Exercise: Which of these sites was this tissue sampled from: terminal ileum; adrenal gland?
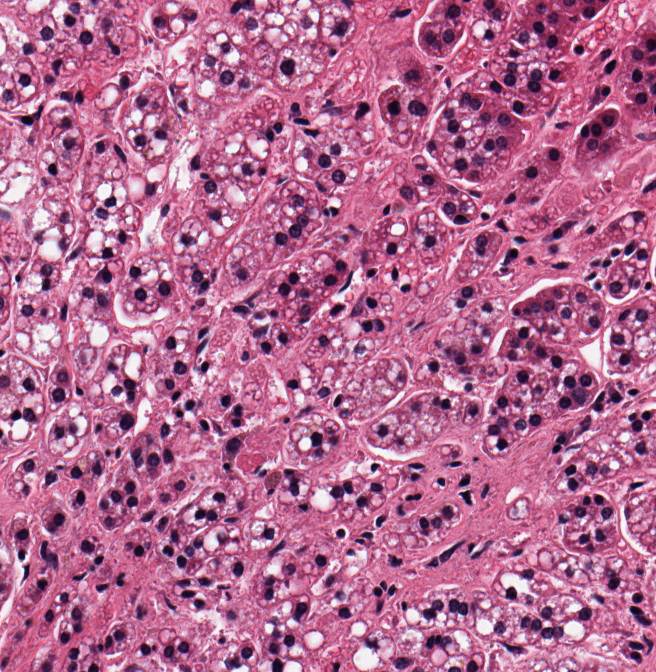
adrenal gland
